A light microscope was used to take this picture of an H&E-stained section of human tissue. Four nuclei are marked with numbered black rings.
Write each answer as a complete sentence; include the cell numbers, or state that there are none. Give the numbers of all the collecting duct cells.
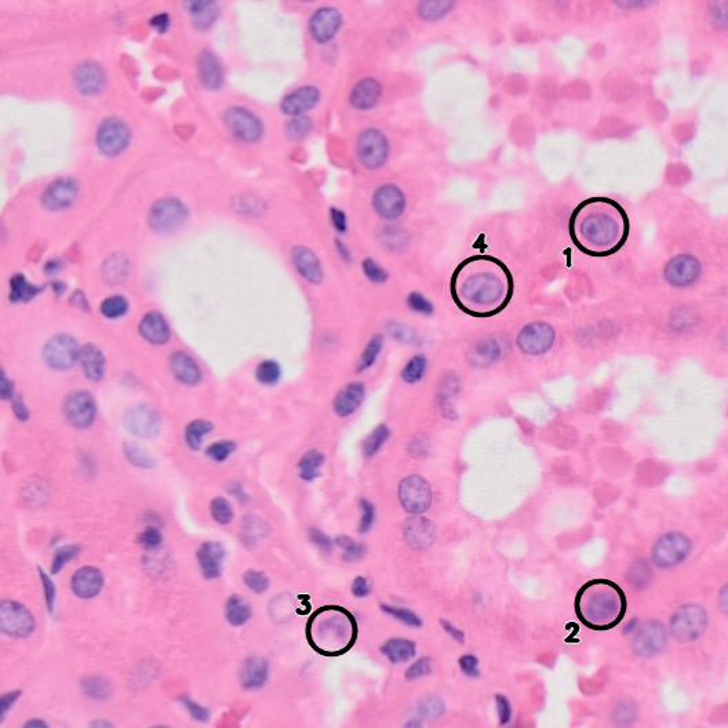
Only the nucleus marked 3 is that of a collecting duct cell.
